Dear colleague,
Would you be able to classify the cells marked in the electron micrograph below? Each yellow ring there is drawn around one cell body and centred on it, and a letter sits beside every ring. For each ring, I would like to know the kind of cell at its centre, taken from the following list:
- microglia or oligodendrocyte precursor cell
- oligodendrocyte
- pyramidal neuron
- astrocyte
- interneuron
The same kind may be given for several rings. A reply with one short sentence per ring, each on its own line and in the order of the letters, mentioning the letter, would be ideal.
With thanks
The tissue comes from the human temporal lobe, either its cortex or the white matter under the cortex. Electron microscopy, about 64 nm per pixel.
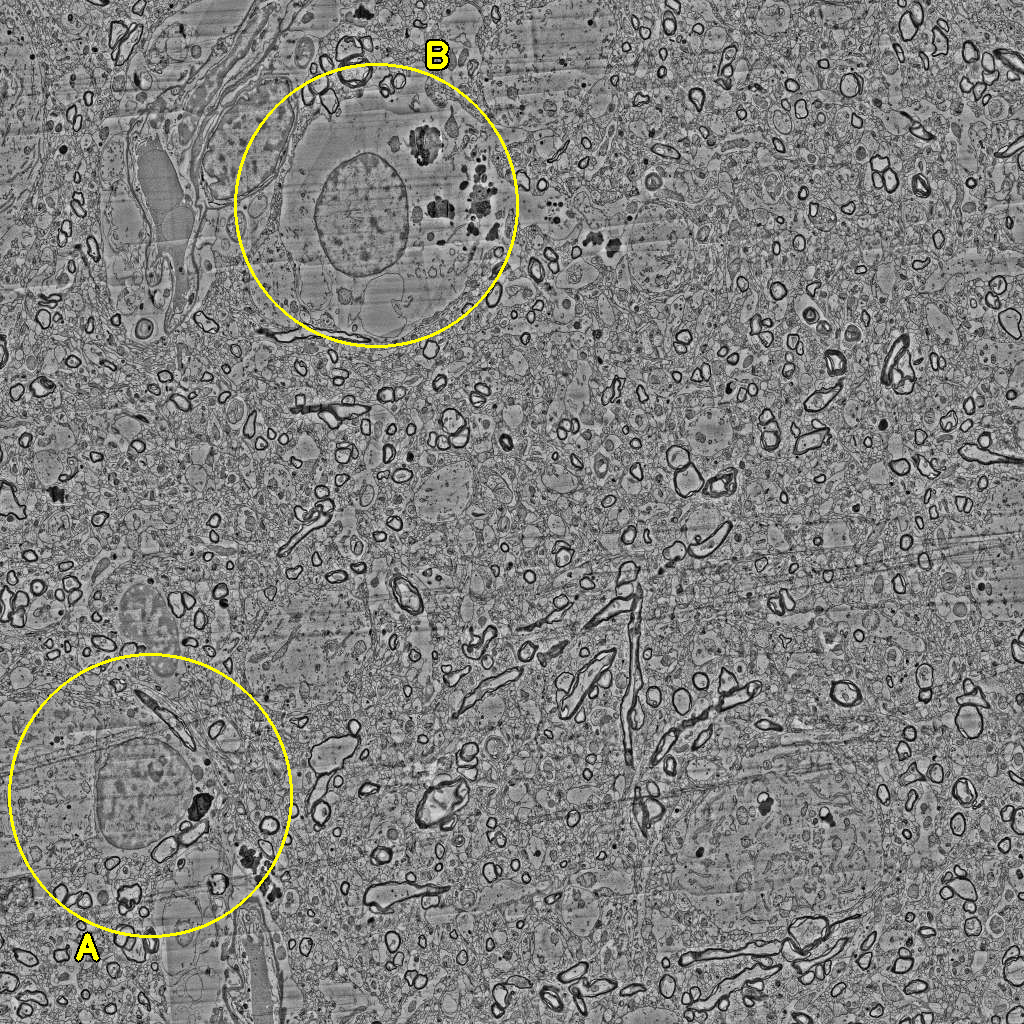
Ring A contains an oligodendrocyte at its centre.
Ring B contains an astrocyte at its centre.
